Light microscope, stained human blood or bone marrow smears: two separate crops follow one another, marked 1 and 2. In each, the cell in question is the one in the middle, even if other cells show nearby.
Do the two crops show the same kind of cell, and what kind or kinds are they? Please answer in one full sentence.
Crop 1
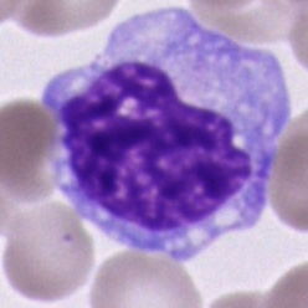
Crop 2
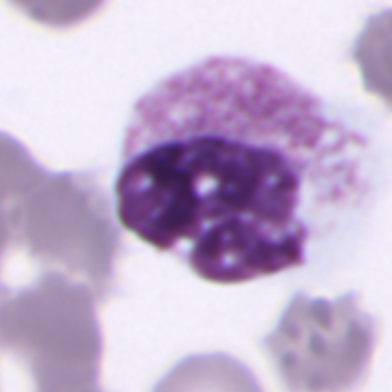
No, crop 1 shows a monocyte, and it is crop 2 that shows a segmented neutrophil.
